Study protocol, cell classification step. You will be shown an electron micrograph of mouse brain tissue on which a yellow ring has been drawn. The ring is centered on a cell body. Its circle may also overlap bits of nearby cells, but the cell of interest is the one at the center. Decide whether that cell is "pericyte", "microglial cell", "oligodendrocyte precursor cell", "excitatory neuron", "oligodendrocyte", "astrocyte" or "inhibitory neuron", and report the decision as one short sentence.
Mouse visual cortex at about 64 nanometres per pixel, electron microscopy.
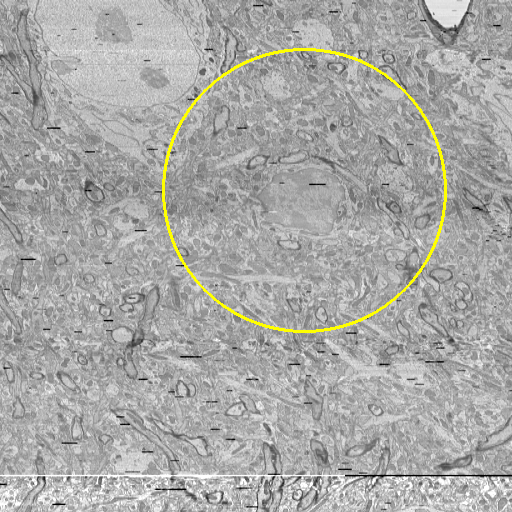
The marked cell is a microglial cell.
